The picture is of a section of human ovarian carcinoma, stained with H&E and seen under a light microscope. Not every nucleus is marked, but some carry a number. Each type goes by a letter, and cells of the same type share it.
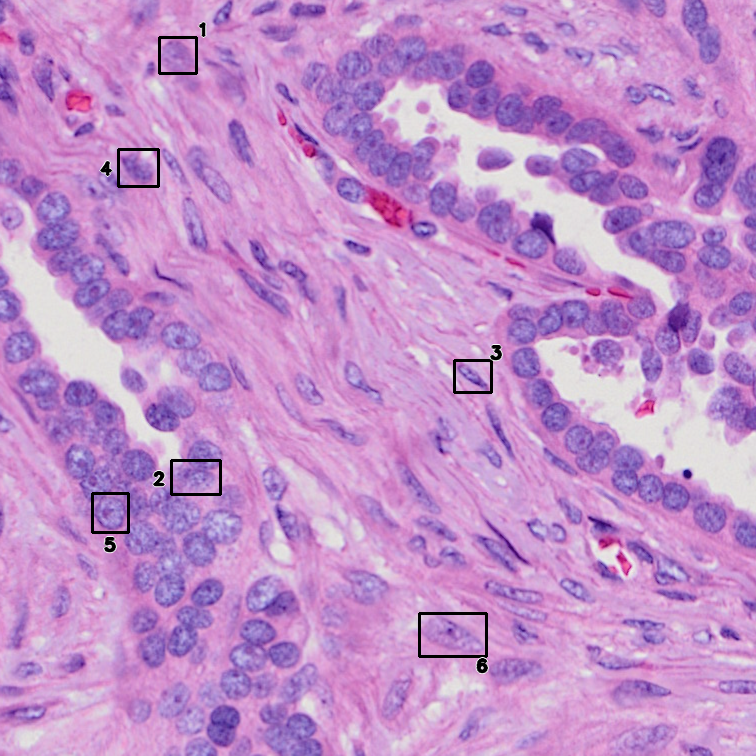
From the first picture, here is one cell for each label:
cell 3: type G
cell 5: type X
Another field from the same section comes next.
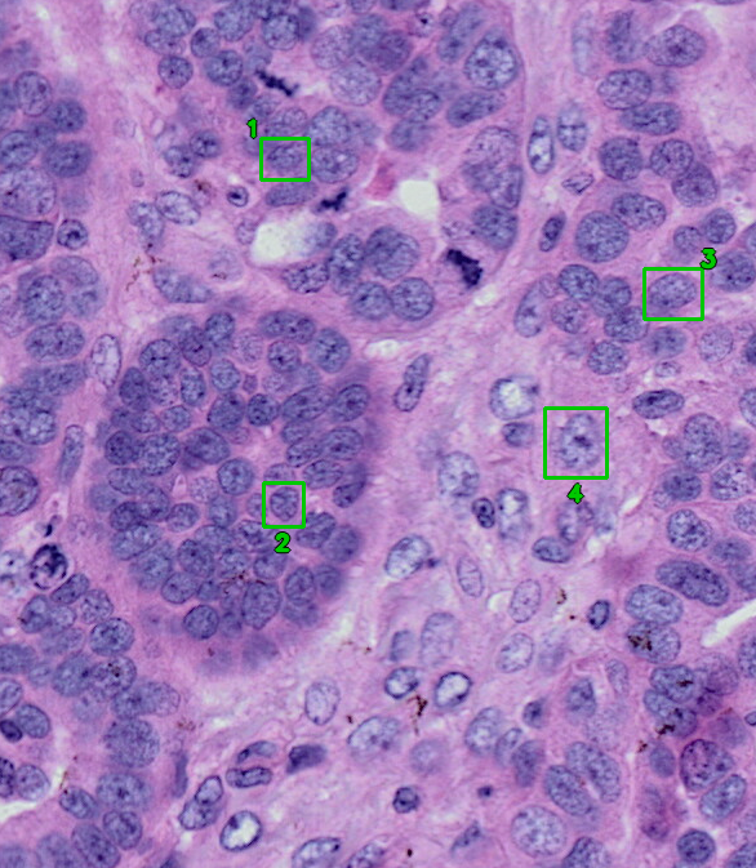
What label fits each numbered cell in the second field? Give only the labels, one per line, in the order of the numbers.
type X
type X
type X
type G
